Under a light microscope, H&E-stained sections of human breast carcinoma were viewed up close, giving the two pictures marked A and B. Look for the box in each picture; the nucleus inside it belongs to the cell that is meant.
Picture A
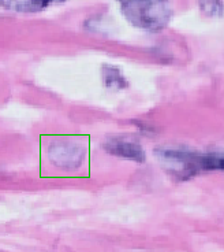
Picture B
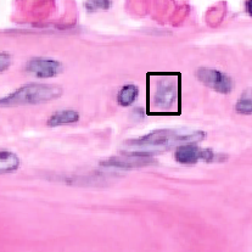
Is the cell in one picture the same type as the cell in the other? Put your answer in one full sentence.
Yes, they are the same type: both are endothelial cells.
